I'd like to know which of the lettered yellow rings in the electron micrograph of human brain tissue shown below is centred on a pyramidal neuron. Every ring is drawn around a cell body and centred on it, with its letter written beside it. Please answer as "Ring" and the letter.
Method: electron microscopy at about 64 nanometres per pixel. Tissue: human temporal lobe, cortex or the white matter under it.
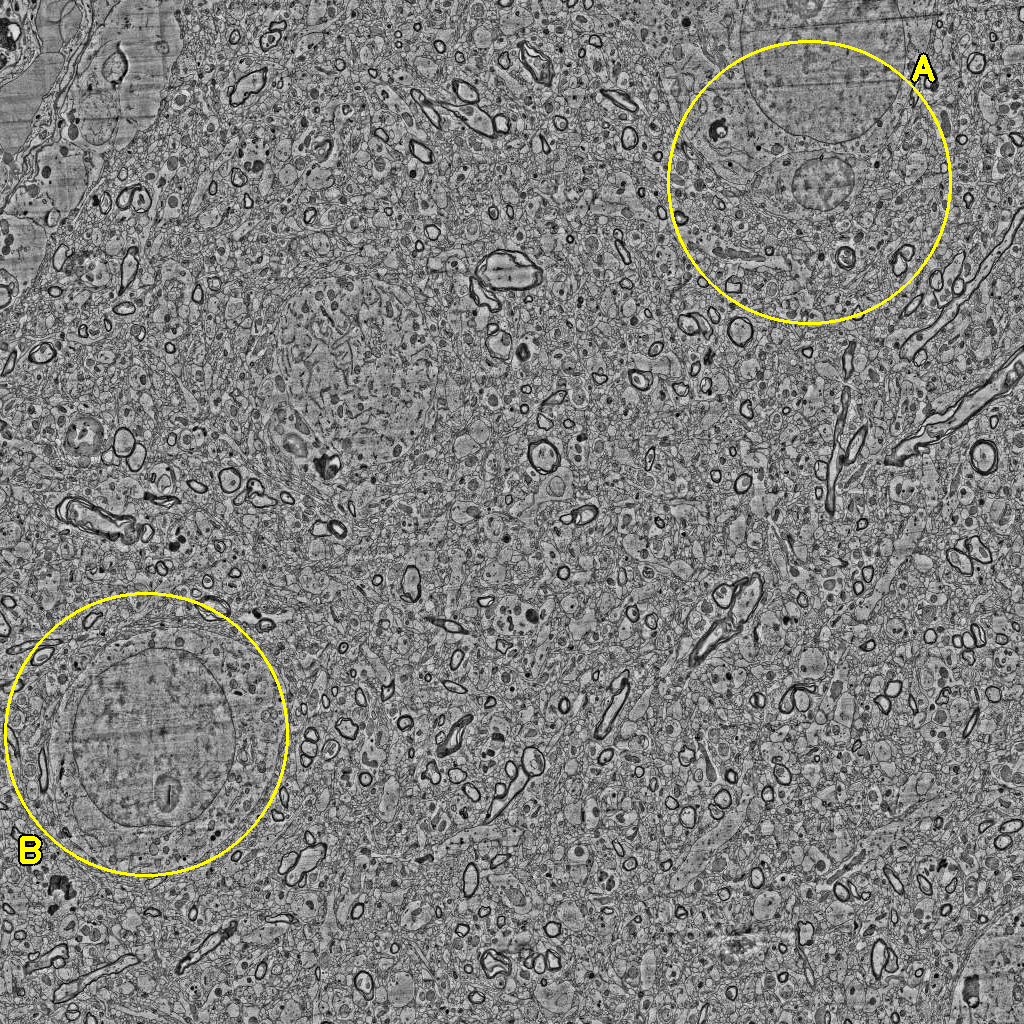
Ring B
